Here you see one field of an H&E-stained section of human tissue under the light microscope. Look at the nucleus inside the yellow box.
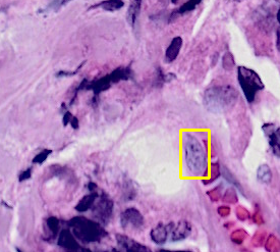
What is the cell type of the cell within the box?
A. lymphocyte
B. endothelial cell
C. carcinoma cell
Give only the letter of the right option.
B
